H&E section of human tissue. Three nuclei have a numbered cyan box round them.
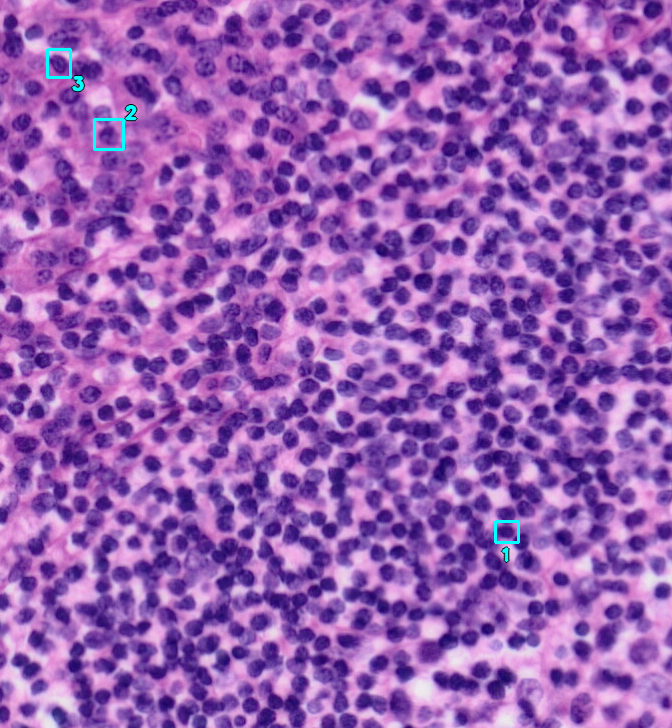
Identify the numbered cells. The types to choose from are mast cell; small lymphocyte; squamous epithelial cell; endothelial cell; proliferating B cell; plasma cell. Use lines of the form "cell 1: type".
cell 1: small lymphocyte
cell 2: plasma cell
cell 3: plasma cell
